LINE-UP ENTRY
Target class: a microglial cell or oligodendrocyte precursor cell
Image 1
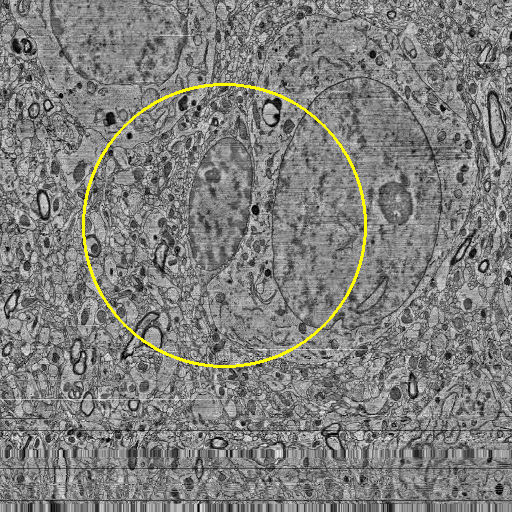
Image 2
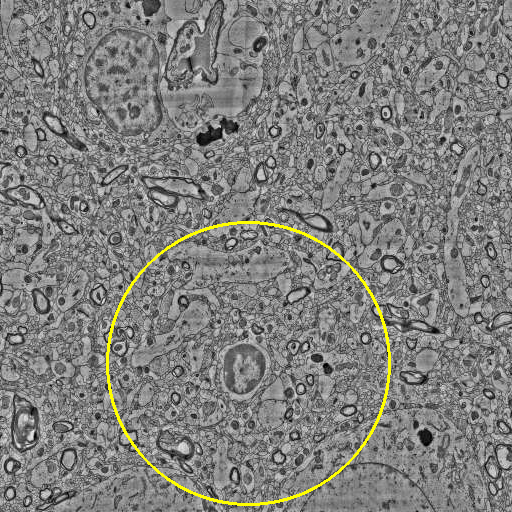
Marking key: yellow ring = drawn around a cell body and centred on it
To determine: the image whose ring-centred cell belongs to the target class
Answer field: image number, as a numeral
2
